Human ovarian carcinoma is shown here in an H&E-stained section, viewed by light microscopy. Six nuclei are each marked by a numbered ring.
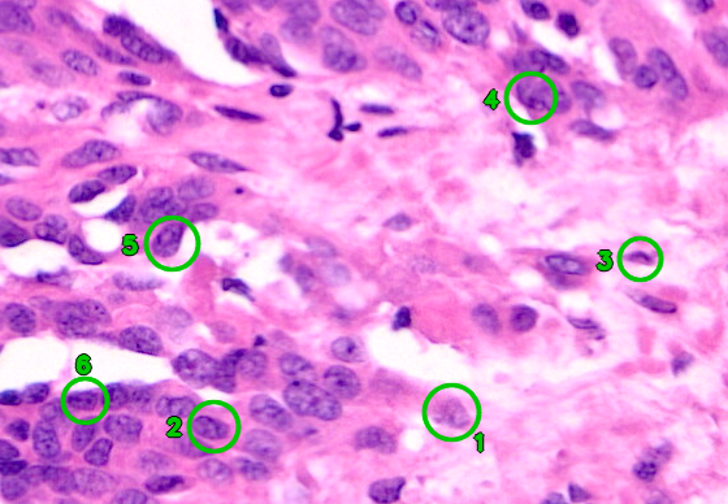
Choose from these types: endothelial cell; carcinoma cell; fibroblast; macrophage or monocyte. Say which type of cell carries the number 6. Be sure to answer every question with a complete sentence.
The cell referenced by the number 6 is a carcinoma cell in this field.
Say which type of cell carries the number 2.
At number 2, the marked cell is a carcinoma cell.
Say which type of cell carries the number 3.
Cell 3 in the field of view is a fibroblast.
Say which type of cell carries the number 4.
Numbered cell 4 is a carcinoma cell in this tissue section.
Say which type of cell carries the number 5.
That cell with number 5 is a carcinoma cell.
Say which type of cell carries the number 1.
Cell 1 is classified as a fibroblast.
